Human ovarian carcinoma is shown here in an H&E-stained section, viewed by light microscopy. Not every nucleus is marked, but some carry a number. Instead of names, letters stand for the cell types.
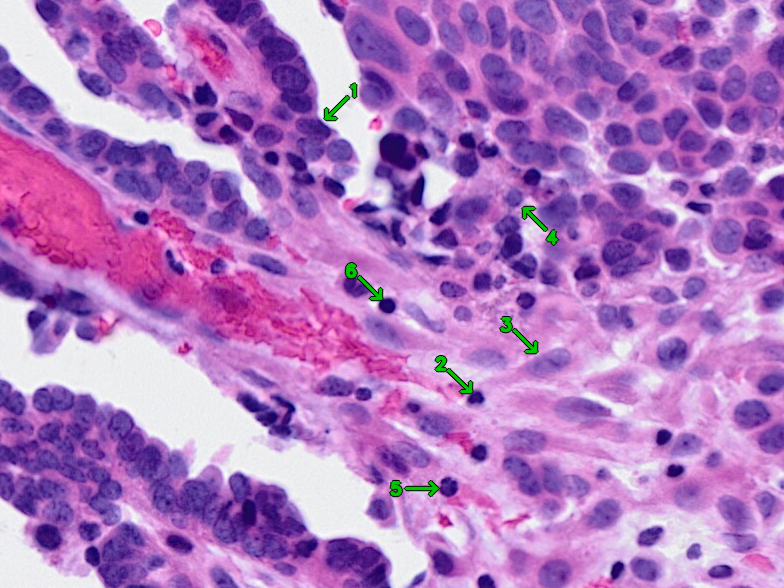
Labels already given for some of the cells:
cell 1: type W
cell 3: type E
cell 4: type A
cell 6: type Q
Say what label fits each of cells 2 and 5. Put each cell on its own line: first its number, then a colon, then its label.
2: type Q
5: type Q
